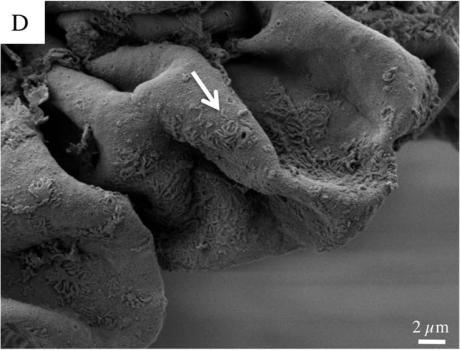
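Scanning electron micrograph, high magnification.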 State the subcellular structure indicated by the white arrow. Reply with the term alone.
Fragments of foot processes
